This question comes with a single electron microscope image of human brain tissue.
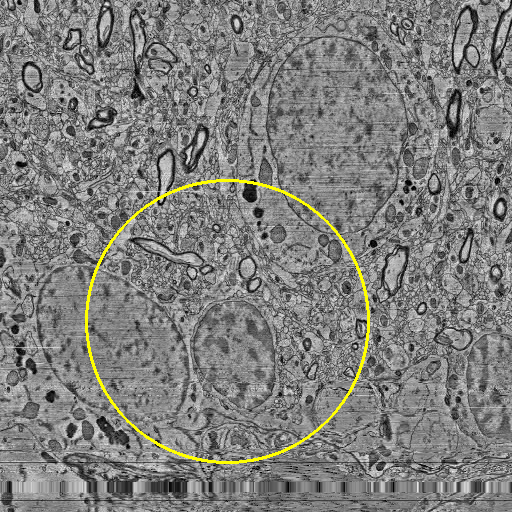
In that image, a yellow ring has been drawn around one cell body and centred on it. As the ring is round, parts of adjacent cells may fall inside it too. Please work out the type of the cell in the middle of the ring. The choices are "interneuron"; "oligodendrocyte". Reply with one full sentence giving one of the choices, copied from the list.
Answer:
Of the choices, an oligodendrocyte is the cell sitting in the middle of the ring.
